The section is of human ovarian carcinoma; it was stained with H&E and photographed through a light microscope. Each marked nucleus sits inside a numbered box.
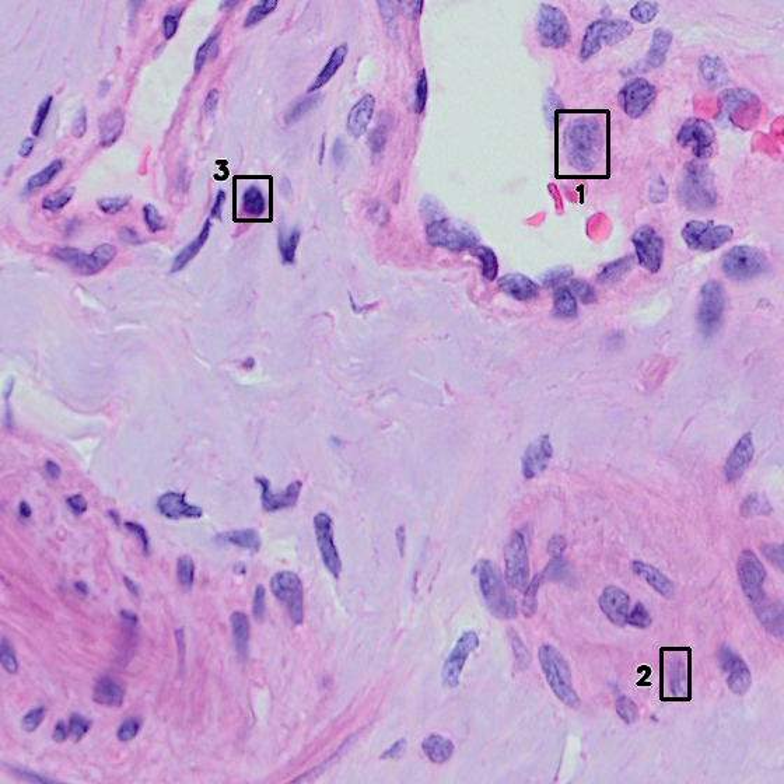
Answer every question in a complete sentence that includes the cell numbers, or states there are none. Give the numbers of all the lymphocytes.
Where the numbered cells are concerned, only number 3 is a lymphocyte.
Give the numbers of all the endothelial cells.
Cell 1 is an endothelial cell, and this holds for no other numbered cell.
